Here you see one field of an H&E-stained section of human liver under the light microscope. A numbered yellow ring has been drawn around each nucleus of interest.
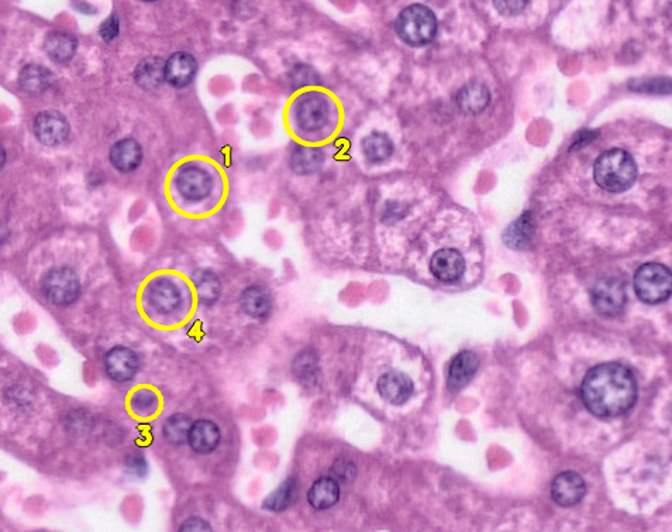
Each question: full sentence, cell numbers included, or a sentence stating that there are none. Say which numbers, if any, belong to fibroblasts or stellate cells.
Only cell 3 is a fibroblast or stellate cell; none of the other numbered cells is.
